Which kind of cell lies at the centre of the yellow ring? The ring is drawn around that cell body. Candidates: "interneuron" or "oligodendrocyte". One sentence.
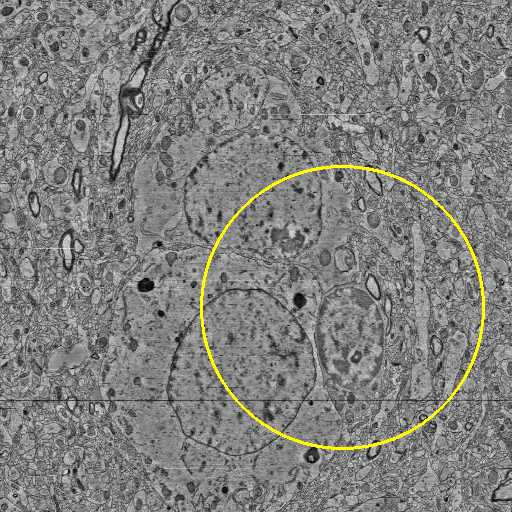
Lying at the centre of the ring is an oligodendrocyte.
